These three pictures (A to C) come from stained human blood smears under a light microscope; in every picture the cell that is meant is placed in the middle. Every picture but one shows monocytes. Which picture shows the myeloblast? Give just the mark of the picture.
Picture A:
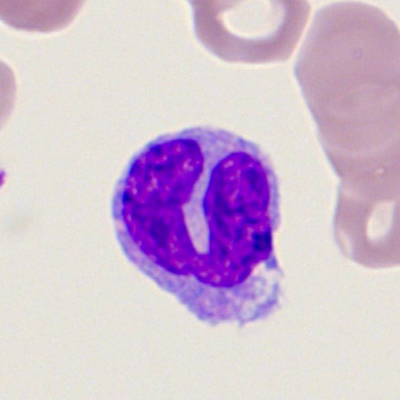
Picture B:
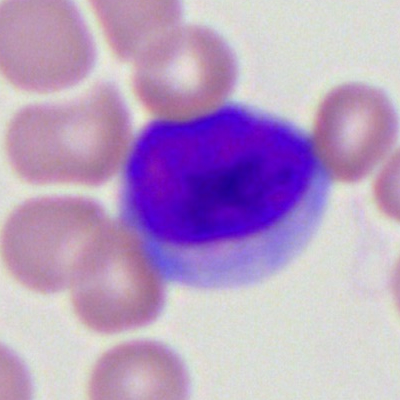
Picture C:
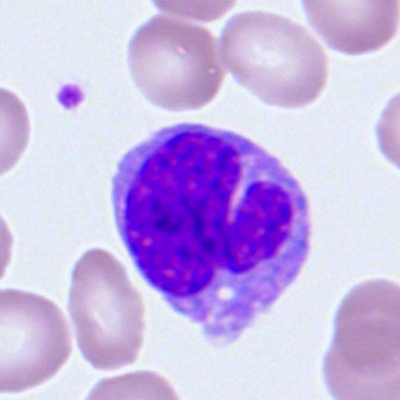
B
